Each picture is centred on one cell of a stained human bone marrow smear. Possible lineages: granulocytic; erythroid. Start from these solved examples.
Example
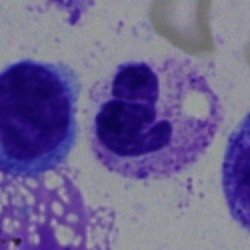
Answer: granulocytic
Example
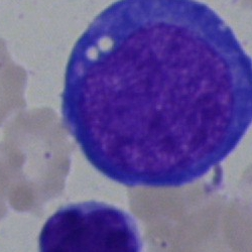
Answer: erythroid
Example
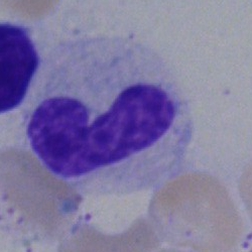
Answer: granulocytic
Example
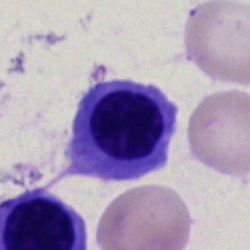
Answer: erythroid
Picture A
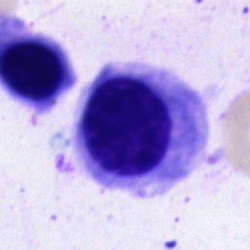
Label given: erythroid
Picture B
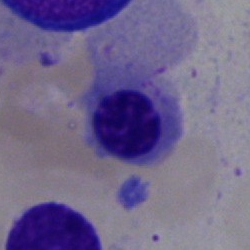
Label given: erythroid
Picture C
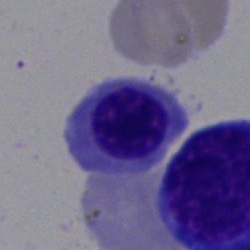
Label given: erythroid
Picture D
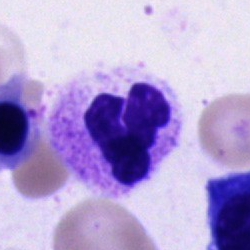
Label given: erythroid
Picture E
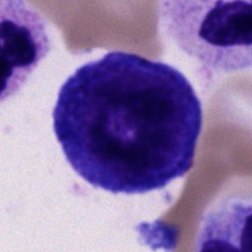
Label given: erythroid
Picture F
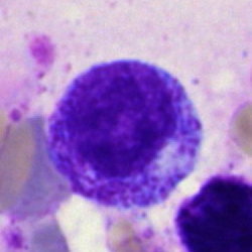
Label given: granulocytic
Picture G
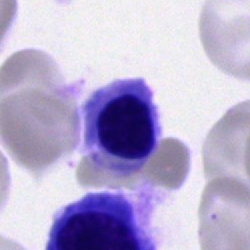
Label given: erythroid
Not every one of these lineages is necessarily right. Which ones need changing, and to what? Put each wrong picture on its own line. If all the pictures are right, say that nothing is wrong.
Wrong: D (erythroid); correct: granulocytic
